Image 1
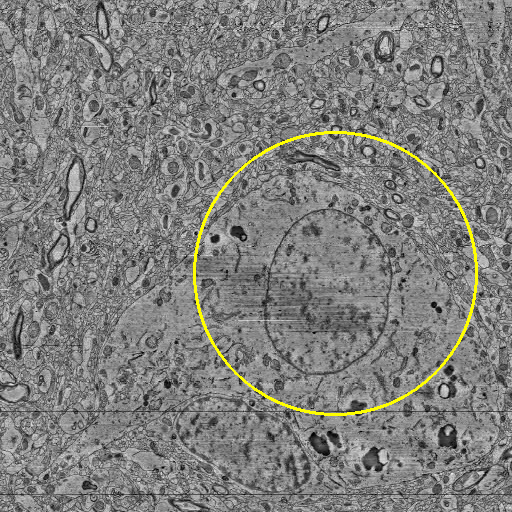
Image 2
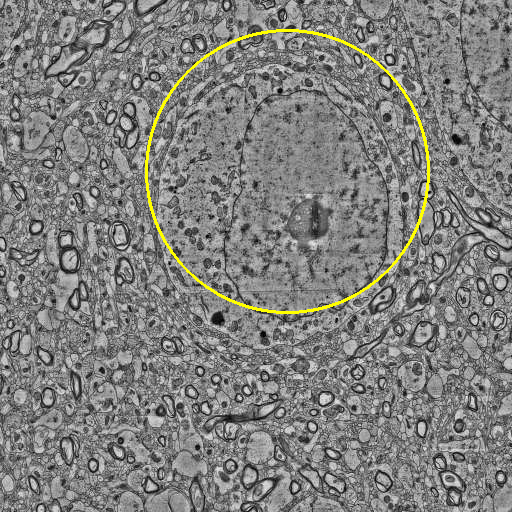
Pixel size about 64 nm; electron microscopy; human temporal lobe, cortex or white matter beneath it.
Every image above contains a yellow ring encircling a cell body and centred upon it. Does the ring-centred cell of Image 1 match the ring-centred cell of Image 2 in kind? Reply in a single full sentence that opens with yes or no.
Yes, the cell at the ring's centre in Image 1 is the same kind as that in Image 2.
